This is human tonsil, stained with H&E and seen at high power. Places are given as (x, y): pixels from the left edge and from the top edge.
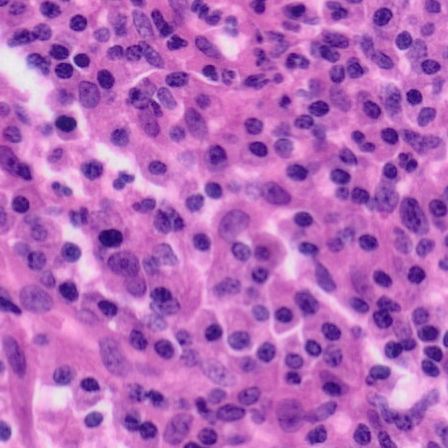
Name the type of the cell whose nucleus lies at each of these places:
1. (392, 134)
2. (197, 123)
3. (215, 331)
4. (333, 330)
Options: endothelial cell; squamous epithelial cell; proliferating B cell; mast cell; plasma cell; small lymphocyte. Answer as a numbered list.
1. plasma cell
2. squamous epithelial cell
3. plasma cell
4. plasma cell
